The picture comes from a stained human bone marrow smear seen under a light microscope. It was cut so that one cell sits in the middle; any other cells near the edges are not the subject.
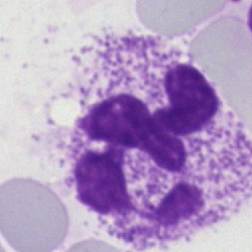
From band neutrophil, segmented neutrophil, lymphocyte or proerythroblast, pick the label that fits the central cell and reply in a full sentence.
The central cell in this smear crop is a segmented neutrophil.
